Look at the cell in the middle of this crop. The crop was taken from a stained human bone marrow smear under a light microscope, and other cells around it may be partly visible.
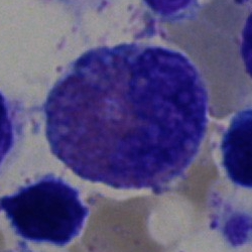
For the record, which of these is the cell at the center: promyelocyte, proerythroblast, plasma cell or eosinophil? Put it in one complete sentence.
The cell of interest, in the center, is an eosinophil.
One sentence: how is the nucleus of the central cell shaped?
Worth pointing out that its nucleus is one compact mass, round, oval or reniform.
